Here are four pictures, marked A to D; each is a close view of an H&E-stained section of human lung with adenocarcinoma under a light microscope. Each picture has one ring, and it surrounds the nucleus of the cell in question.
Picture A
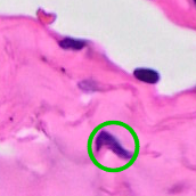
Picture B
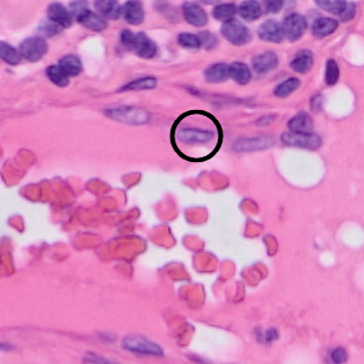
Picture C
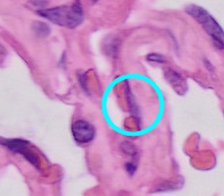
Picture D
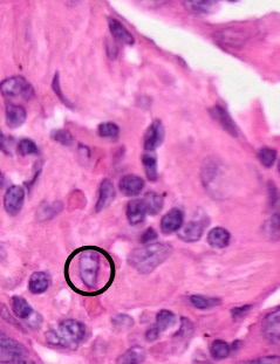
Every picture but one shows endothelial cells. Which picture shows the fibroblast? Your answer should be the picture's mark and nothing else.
A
